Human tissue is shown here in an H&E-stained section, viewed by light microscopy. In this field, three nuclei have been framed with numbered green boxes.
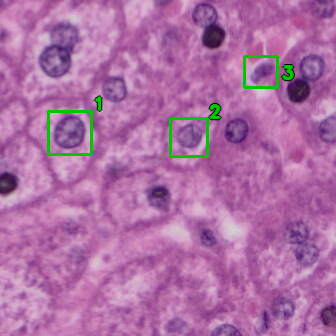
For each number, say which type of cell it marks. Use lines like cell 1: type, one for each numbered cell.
cell 1: hepatocyte
cell 2: hepatocyte
cell 3: endothelial cell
